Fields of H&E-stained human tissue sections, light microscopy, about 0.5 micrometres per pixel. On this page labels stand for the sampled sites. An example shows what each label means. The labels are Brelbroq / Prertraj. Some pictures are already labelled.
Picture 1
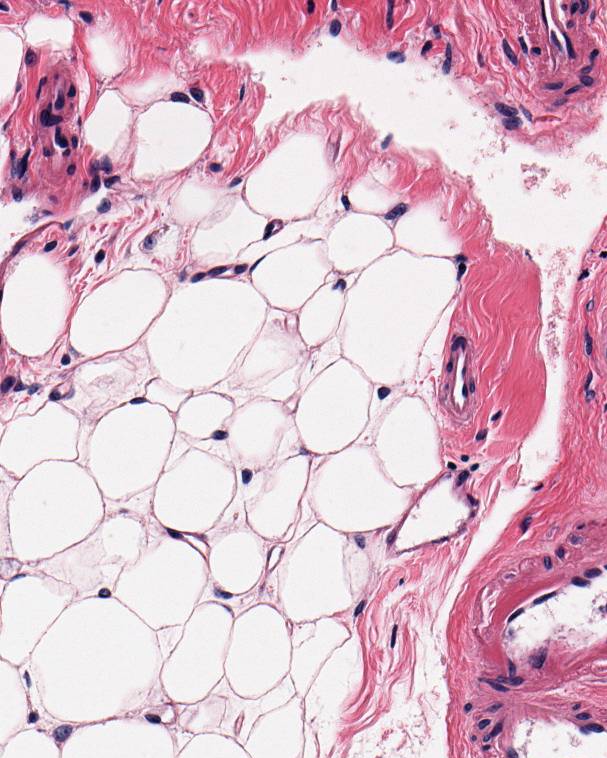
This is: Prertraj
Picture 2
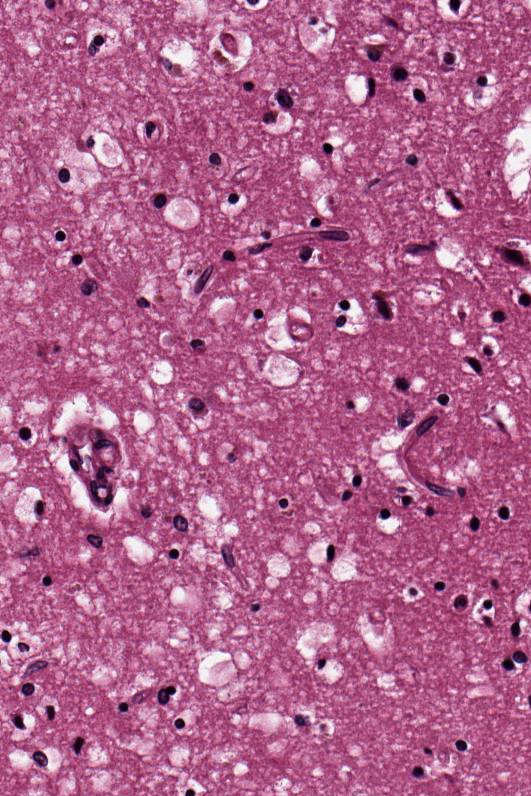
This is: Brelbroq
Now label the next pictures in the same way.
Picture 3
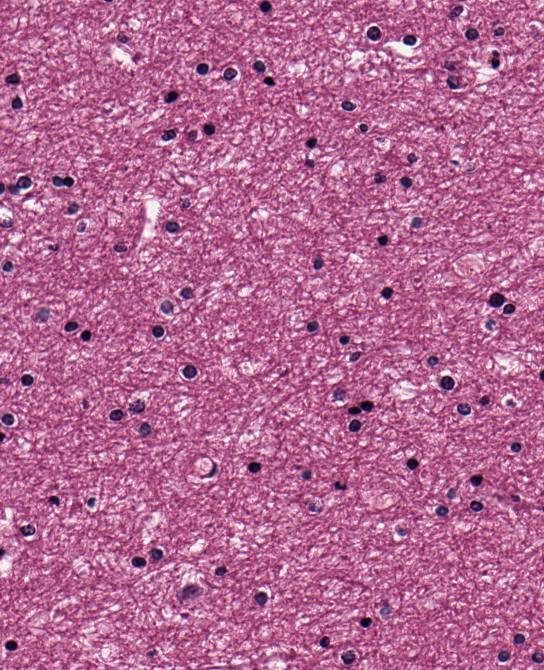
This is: Brelbroq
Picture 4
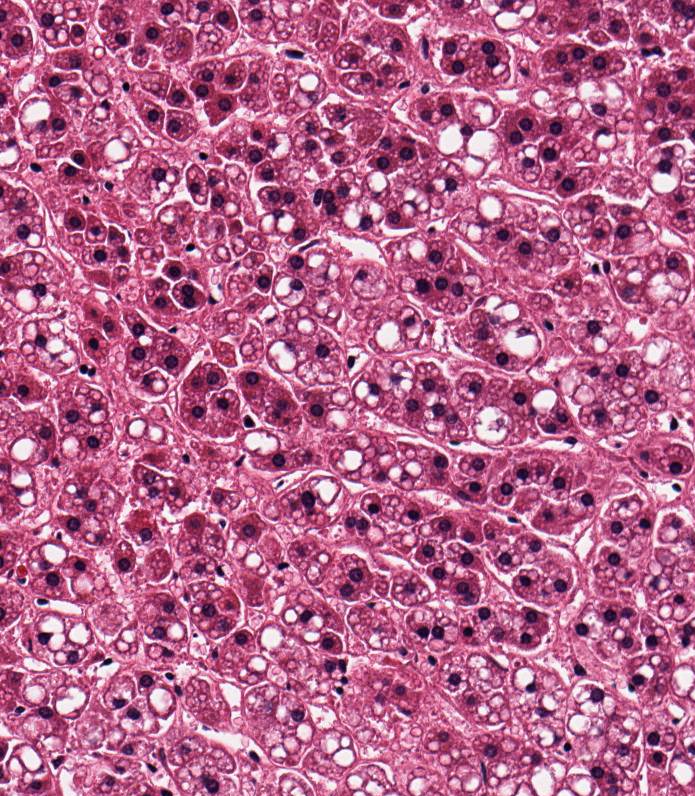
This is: Prertraj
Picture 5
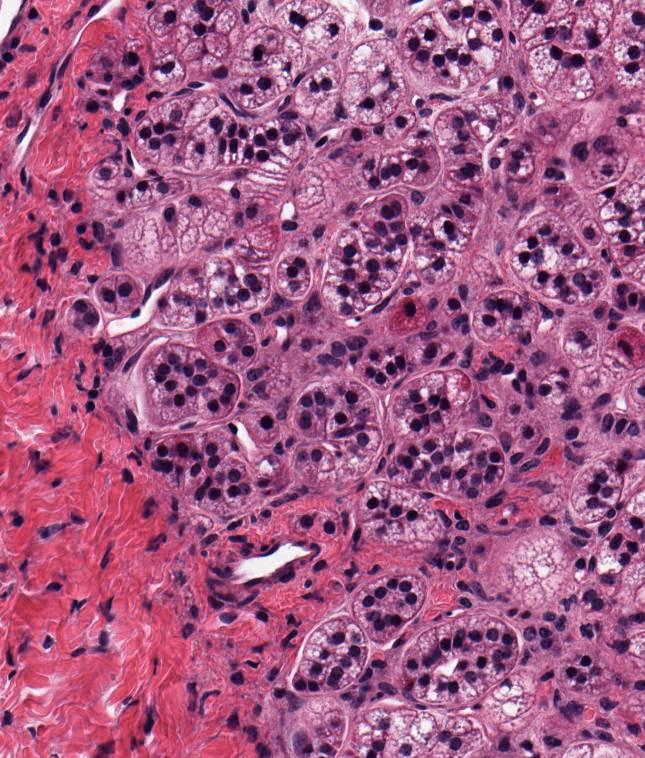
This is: Prertraj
